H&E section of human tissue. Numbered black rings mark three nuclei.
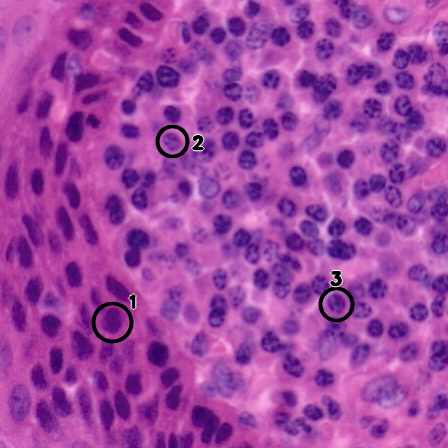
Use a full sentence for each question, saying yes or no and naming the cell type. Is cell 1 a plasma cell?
No, the cell labelled 1 is a squamous epithelial cell and not a plasma cell.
